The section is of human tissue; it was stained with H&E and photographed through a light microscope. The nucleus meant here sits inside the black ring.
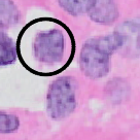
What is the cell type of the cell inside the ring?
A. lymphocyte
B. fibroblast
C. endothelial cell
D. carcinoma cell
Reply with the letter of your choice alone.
D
